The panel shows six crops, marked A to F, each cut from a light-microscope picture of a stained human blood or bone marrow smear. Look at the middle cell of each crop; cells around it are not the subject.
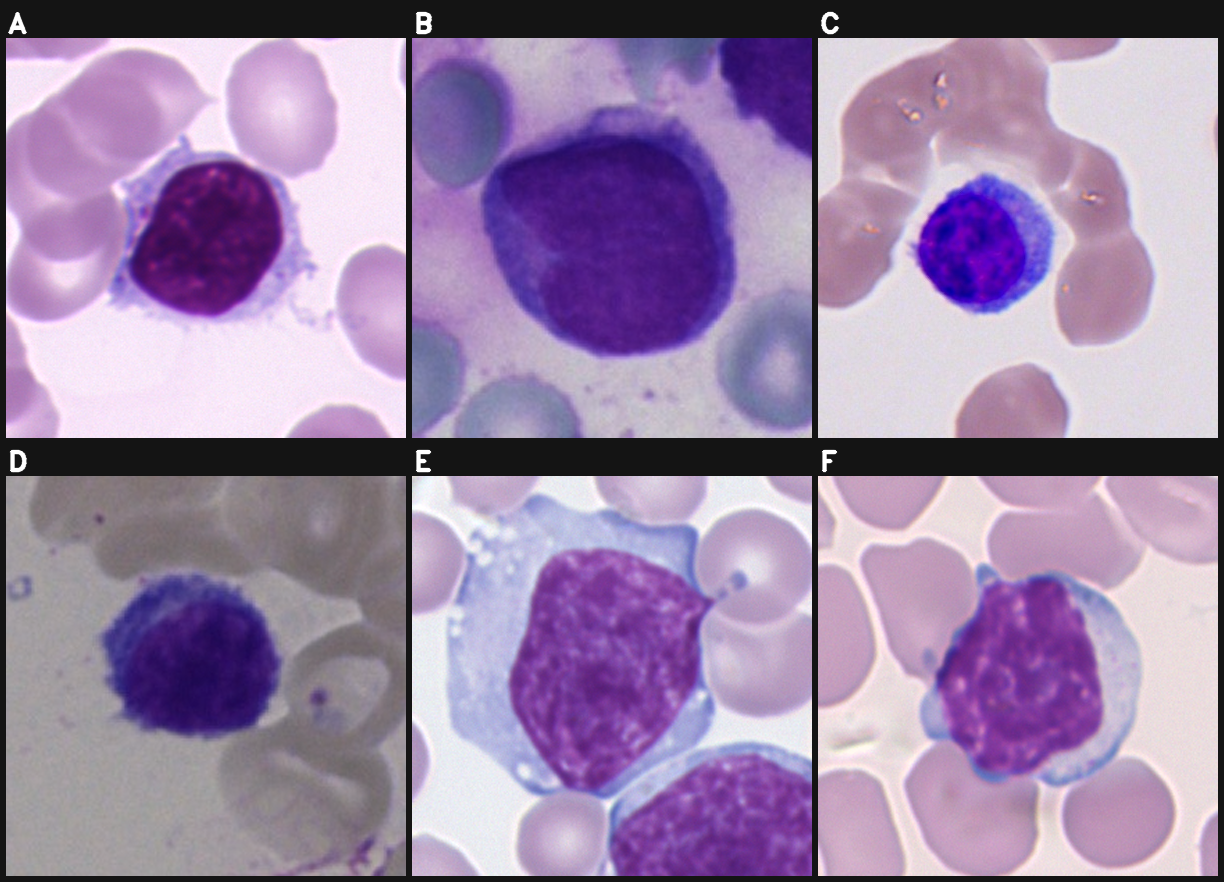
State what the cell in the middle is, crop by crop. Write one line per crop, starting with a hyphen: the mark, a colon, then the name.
- A: lymphocyte
- B: blast
- C: lymphocyte
- D: lymphocyte
- E: blast
- F: blast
